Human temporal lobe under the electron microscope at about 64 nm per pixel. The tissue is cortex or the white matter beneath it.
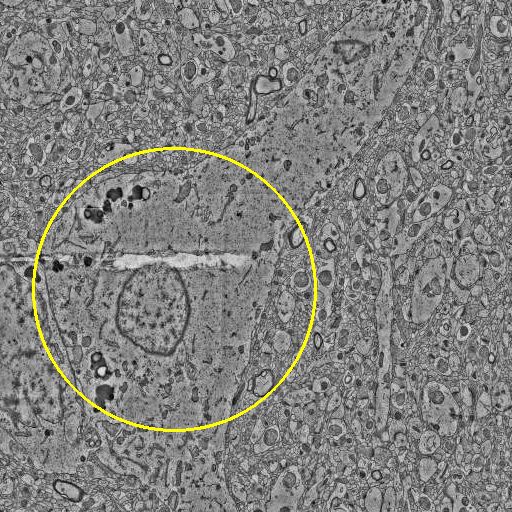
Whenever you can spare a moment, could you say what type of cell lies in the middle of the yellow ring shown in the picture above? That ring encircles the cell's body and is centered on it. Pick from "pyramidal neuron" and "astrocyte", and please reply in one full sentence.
The cell whose body sits at the middle of the yellow ring is a pyramidal neuron.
